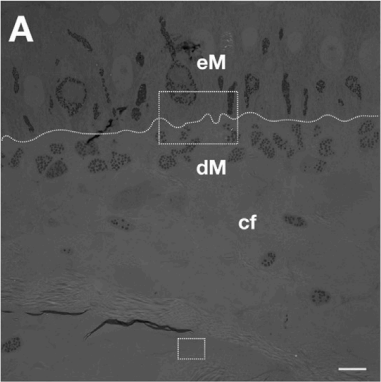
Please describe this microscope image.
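This is skin in cross section showing the epidermis above a wavy boundary and the dermis below, with pigment cells in both layers. In the epidermis, tall closely packed cells stand side by side, and among them lie melanophores filled with dark, electron-dense granules that extend as dark streaks between the cells. Just beneath the boundary, dermal melanophores form clusters of dark rounded granules in a row. Deeper down the dermis is a paler field of collagen fibers with only a few scattered pigment cell profiles.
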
